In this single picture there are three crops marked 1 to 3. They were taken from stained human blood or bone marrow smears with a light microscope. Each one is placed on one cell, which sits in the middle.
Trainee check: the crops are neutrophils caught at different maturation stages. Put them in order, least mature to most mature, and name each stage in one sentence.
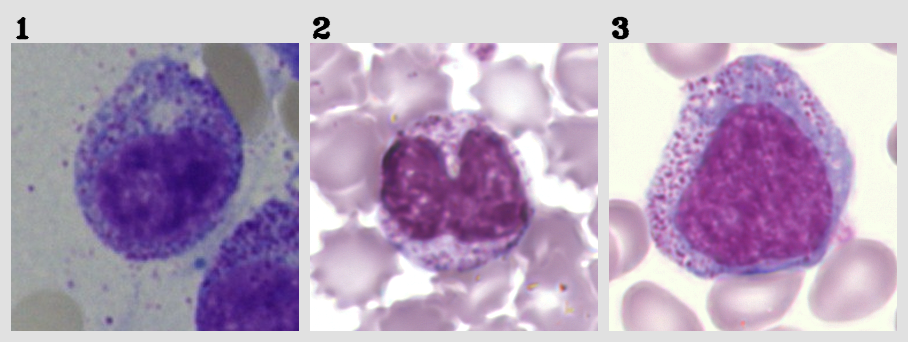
Maturation proceeds in the order crop 3 (a promyelocyte), crop 1 (a myelocyte) and crop 2 (a band neutrophil).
